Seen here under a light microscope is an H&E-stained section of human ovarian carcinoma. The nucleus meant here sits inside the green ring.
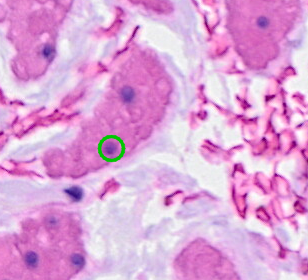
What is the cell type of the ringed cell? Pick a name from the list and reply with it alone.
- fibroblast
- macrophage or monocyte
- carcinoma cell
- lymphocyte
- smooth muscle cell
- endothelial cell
smooth muscle cell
